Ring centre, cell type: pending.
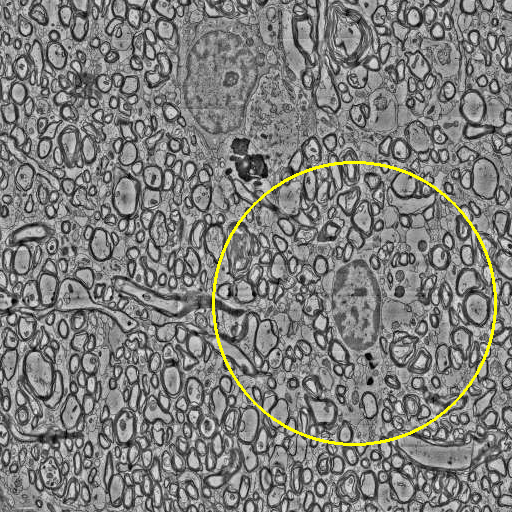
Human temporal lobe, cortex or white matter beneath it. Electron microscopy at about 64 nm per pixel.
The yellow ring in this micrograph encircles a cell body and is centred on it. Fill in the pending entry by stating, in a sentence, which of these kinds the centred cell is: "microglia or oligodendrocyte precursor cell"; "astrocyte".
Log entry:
The centred cell is recorded as a microglial cell or oligodendrocyte precursor cell.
